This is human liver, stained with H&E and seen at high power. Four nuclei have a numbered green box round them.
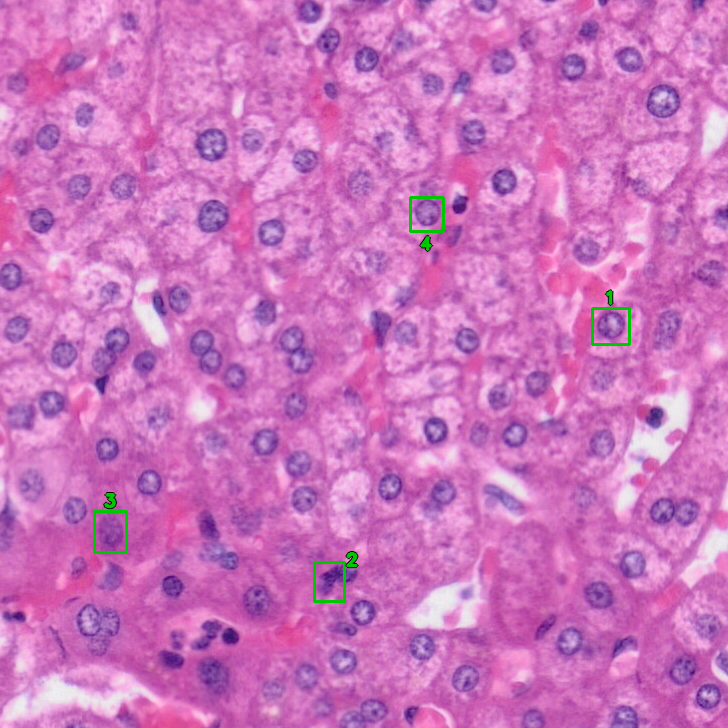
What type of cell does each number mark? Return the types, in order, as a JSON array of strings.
["hepatocyte", "fibroblast or stellate cell", "hepatocyte", "hepatocyte"]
